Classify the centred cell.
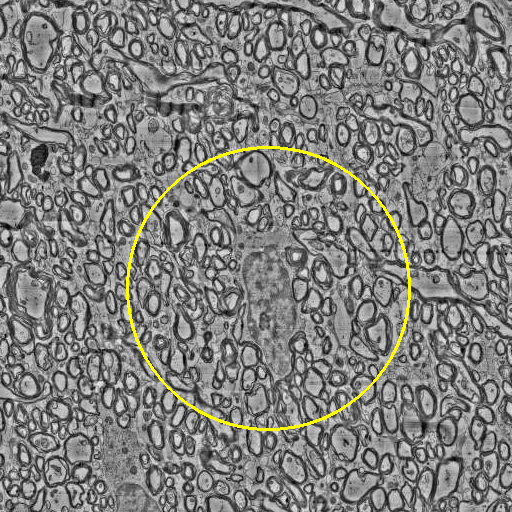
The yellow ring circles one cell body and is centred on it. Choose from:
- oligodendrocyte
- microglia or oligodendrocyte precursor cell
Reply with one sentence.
The ring is centred on an oligodendrocyte.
